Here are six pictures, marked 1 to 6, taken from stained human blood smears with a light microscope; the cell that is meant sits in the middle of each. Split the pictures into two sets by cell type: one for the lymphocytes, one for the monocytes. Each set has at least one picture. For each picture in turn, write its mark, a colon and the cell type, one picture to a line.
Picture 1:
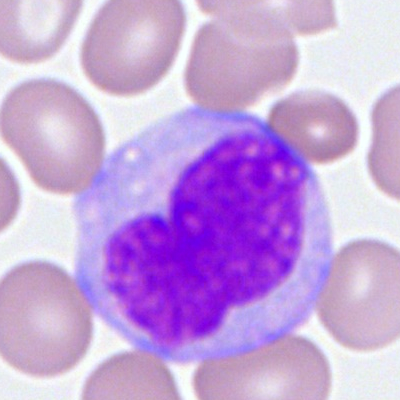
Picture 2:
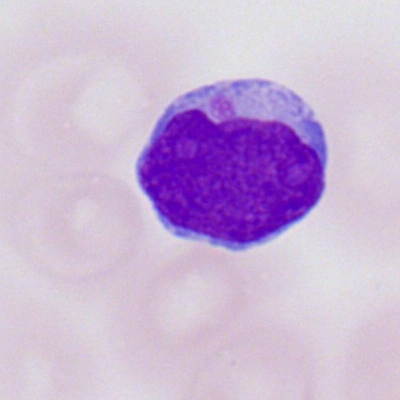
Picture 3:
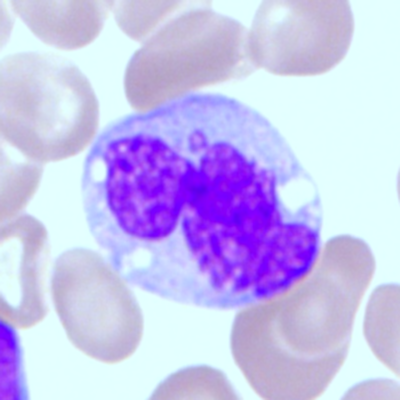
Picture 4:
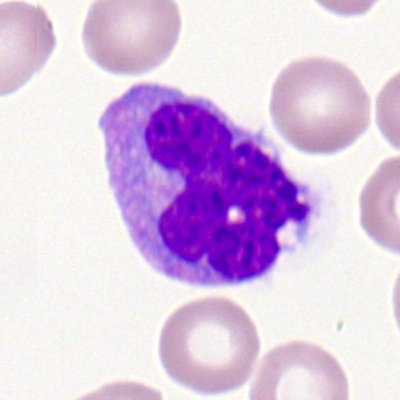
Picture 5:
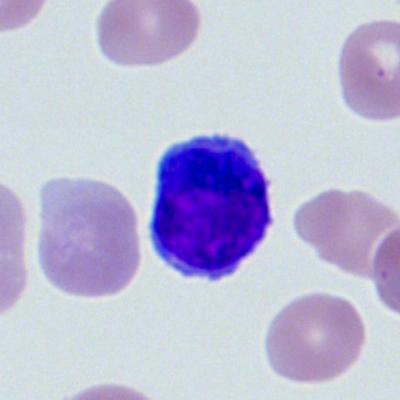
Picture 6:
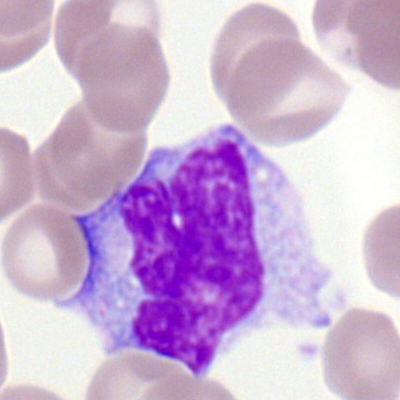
1: monocyte
2: lymphocyte
3: monocyte
4: monocyte
5: lymphocyte
6: monocyte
